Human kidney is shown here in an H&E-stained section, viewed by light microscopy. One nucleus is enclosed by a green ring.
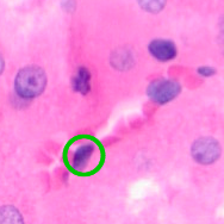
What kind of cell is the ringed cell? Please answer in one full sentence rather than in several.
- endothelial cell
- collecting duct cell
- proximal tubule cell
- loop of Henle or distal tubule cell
The cell type represented by the ringed cell is that of an endothelial cell.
